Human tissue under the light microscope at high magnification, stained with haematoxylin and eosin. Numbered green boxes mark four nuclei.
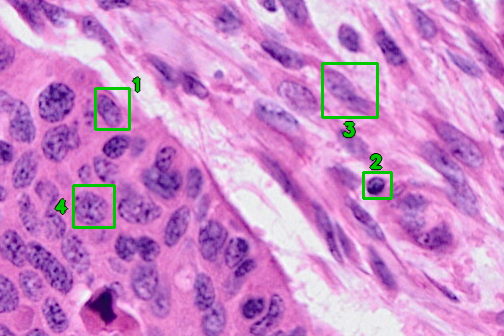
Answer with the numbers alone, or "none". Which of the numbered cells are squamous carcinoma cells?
1, 4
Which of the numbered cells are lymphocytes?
2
